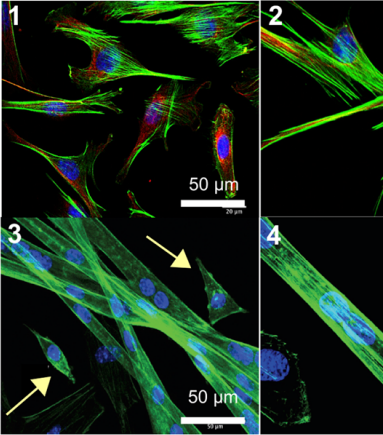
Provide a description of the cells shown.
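These are cultured muscle-lineage cells: separate myoblasts in the upper images and long myotubes in the lower images. The myoblasts are flattened, spread and irregular or spindle-shaped, and each has a single oval blue nucleus. Their cytoplasm is crossed by many fine green filament bundles that run along the long axis of the cell, and a red filamentous network spreads through the cell body. The myotubes in the lower images are very long, broad, parallel bands filled with green filaments, and each holds many oval blue nuclei lined up along its length. A few small single cells with a single nucleus lie between the myotubes, marked by arrows in one image.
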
